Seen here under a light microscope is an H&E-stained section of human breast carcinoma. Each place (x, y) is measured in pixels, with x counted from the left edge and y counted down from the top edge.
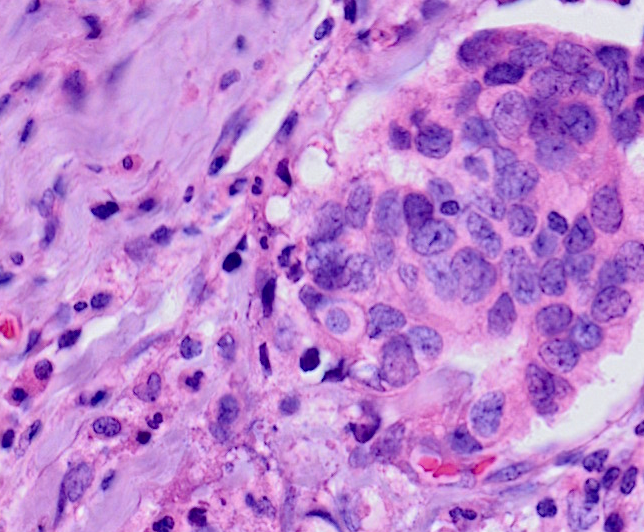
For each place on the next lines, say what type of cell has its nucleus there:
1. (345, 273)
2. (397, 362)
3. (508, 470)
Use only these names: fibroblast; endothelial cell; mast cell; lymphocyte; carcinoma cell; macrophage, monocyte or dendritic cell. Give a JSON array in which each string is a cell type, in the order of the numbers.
["carcinoma cell", "carcinoma cell", "endothelial cell"]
